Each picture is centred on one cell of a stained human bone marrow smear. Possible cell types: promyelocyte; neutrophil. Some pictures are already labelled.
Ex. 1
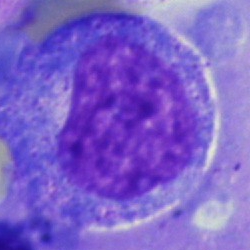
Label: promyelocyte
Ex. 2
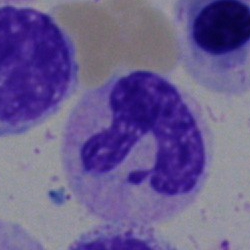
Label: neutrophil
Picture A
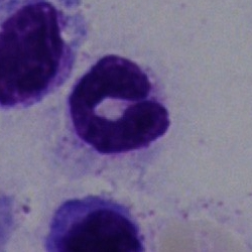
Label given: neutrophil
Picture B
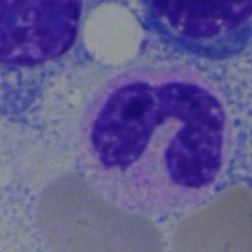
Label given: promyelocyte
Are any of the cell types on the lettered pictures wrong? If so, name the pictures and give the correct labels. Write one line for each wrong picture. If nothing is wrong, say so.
Wrong: B (promyelocyte); correct: neutrophil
